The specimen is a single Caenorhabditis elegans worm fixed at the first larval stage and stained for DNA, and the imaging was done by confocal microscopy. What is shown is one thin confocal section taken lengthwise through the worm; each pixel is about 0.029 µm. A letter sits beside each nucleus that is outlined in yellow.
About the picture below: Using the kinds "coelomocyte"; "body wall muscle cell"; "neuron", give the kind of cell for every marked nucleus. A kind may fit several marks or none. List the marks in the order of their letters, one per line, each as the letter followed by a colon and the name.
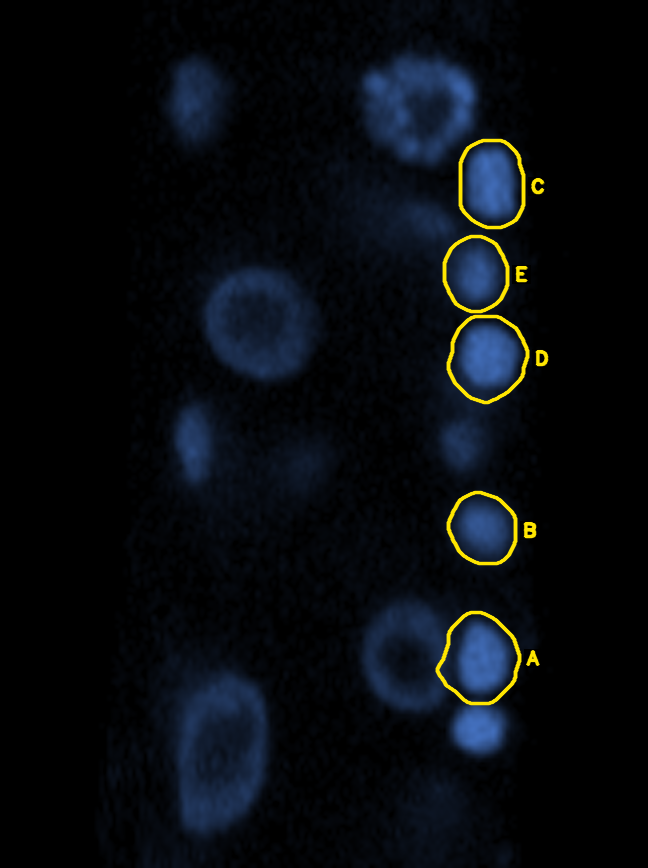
A: neuron
B: coelomocyte
C: neuron
D: neuron
E: body wall muscle cell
